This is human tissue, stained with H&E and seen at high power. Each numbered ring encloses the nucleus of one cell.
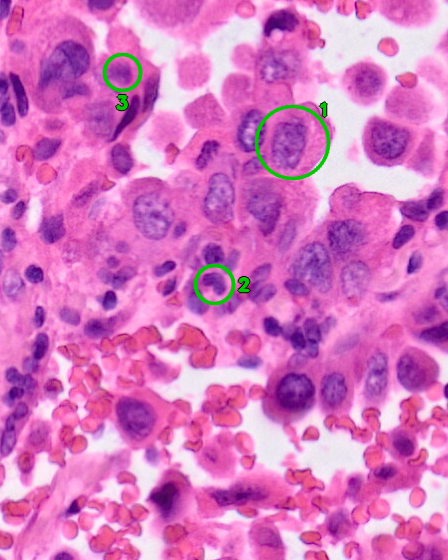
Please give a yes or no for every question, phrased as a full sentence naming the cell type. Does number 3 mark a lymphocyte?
No, that is wrong: cell 3 is a carcinoma cell, and not a lymphocyte.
